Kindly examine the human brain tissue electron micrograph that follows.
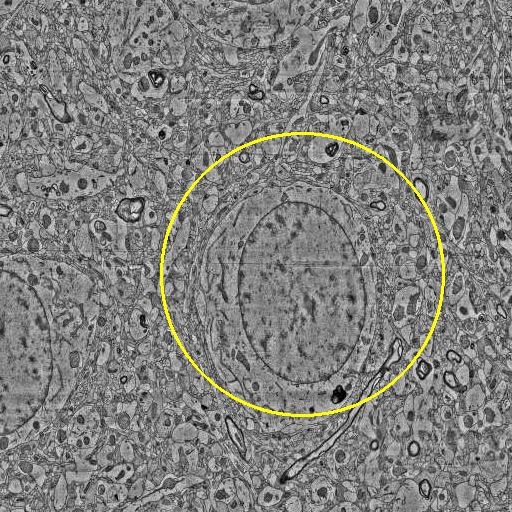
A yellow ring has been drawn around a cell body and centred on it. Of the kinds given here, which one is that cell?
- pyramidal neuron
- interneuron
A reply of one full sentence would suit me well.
The micrograph's ringed cell, the one at the ring's centre, is a pyramidal neuron.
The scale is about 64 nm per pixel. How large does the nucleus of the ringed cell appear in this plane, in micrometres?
About 12 by 8 micrometres in this plane.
